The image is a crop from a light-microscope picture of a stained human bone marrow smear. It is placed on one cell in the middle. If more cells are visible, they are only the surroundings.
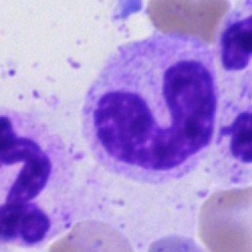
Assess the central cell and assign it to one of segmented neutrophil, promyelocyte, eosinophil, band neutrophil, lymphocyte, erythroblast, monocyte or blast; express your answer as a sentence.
The cell at the centre of the field is a band neutrophil.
